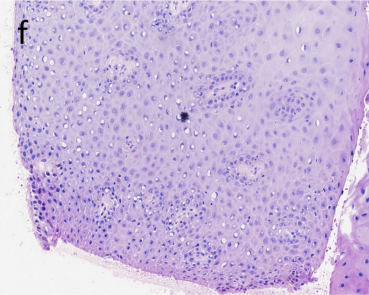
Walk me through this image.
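This is a pale lilac-stained section of a stratified squamous epithelium, seen largely in tangential section. Many polygonal epithelial cells with small dark nuclei fill most of the field. Numerous cells show clear halos around their nuclei, which gives the field a speckled appearance. Small islands of connective tissue containing small vessels are scattered through the epithelium. The cells around these islands and along the left edge are smaller, more crowded and more darkly stained.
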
